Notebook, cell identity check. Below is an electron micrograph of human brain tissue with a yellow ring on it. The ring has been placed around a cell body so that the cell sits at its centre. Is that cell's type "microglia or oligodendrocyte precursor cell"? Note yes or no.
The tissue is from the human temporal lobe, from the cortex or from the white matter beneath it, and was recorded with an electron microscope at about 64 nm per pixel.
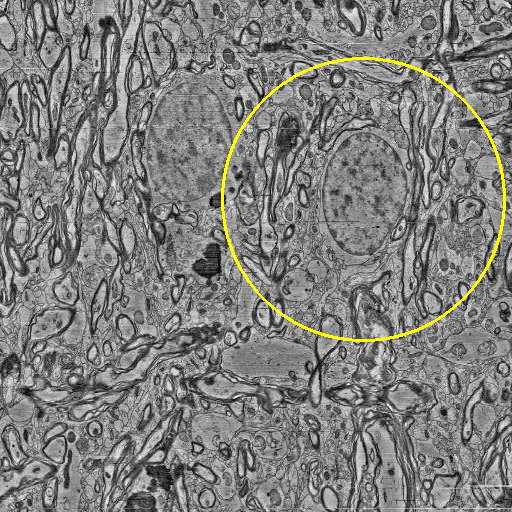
Yes, that is its cell type.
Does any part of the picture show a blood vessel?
No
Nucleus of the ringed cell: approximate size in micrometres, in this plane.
In this plane the nucleus measures roughly 8 by 5 micrometers.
